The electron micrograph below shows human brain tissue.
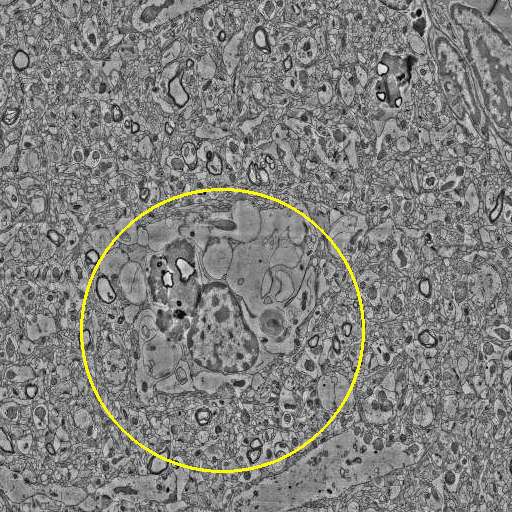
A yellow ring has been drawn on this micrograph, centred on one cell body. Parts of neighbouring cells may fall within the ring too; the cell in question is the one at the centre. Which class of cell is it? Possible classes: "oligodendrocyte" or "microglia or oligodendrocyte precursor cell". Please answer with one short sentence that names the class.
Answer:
In the centre of the ring sits a microglial cell or oligodendrocyte precursor cell.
